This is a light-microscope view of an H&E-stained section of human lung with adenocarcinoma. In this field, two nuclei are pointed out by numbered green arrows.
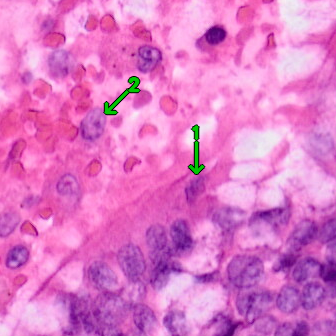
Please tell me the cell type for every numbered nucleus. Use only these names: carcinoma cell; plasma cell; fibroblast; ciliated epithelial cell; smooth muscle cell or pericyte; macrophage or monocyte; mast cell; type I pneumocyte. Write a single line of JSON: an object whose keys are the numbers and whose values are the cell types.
{"1": "ciliated epithelial cell", "2": "macrophage or monocyte"}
